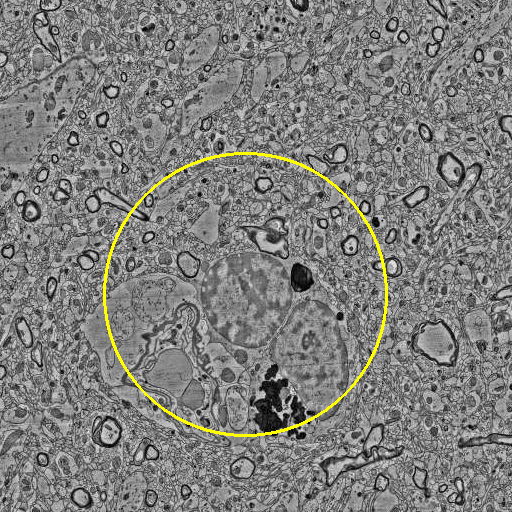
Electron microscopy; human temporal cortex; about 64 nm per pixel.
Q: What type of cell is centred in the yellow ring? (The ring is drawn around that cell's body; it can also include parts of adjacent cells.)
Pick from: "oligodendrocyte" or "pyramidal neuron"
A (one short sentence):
The yellow ring is centred on an oligodendrocyte.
